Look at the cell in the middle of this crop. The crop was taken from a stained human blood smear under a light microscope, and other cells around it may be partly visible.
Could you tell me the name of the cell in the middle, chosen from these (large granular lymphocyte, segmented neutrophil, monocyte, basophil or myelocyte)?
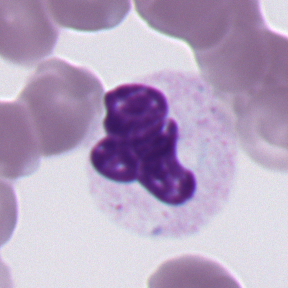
segmented neutrophil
